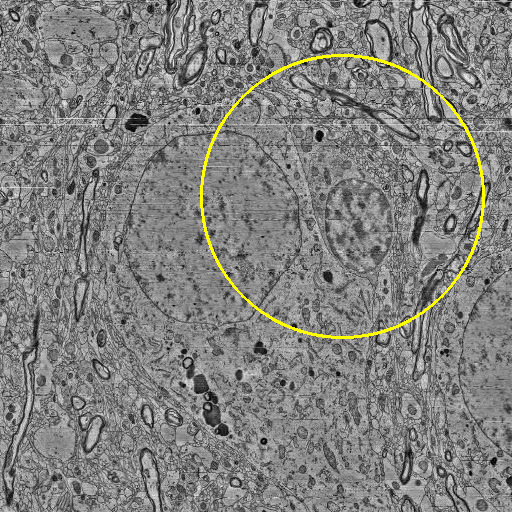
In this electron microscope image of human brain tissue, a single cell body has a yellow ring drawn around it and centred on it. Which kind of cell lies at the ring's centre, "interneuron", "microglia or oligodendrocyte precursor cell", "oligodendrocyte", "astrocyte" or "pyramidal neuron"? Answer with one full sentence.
It is an oligodendrocyte whose cell body lies at the centre of the yellow ring here.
